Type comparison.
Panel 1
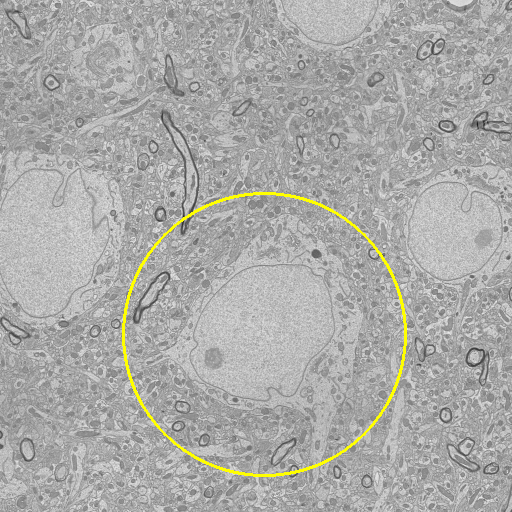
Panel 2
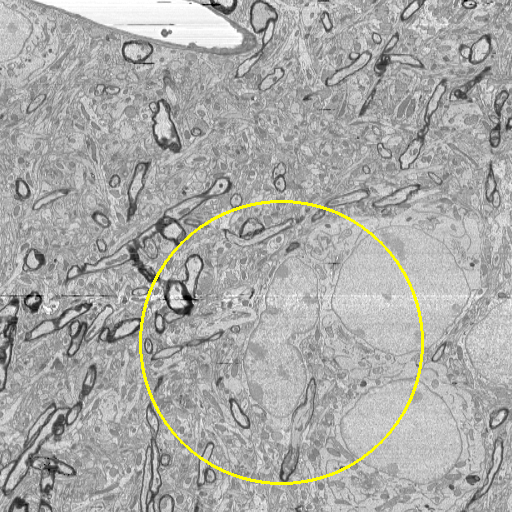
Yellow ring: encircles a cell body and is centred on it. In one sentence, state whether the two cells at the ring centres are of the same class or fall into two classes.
In these panels, the two cells at the ring centres fall into two classes.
